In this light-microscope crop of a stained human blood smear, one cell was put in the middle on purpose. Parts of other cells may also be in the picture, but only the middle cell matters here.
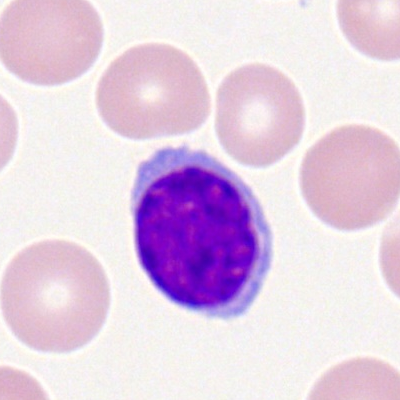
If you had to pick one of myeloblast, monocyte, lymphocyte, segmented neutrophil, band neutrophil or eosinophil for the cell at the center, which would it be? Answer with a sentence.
The center cell of this crop is a lymphocyte.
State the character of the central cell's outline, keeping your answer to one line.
An irregular outline, ragged or marked by projections, surrounds this cell.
